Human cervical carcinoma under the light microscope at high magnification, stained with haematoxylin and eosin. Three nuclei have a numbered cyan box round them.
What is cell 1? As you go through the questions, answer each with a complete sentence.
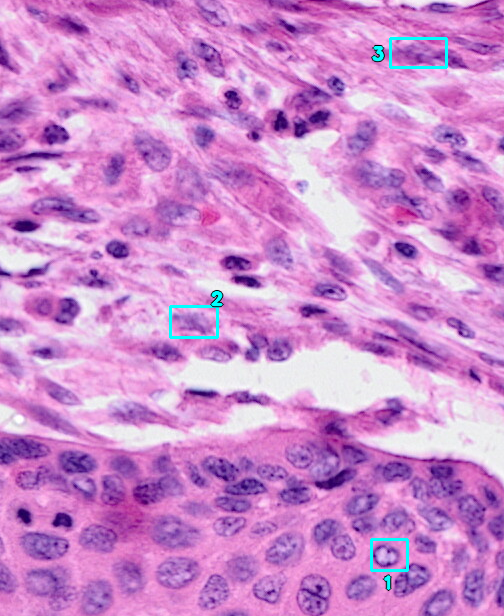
The cell carrying label 1 is identified as a squamous carcinoma cell.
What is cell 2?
In the tissue shown, cell 2 is a fibroblast.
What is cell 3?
The cell that is numbered 3 is a fibroblast.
